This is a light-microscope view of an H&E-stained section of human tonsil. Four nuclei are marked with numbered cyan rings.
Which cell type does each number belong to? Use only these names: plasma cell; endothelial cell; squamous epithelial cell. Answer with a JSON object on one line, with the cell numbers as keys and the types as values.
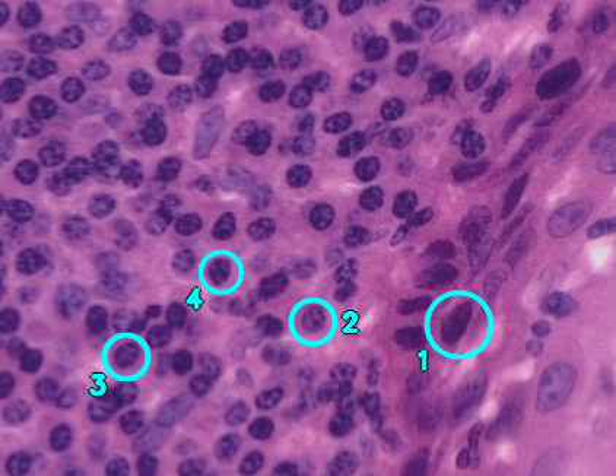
{"1": "squamous epithelial cell", "2": "plasma cell", "3": "plasma cell", "4": "plasma cell"}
